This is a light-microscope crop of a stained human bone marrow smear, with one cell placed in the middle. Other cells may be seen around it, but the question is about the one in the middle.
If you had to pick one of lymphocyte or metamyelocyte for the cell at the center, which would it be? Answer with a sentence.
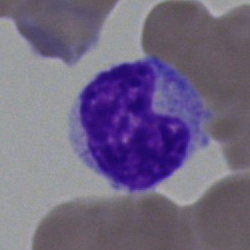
This crop has a metamyelocyte at its centre.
